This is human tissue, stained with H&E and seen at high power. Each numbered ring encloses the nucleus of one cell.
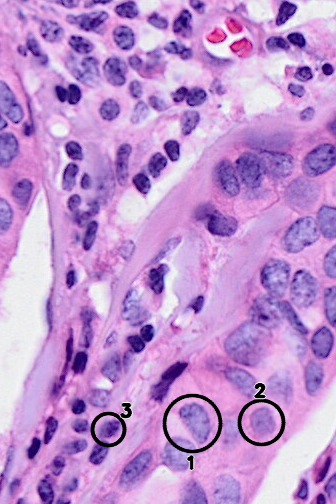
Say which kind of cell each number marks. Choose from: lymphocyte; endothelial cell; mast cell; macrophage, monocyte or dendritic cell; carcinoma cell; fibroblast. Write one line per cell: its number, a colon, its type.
1: carcinoma cell
2: carcinoma cell
3: lymphocyte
